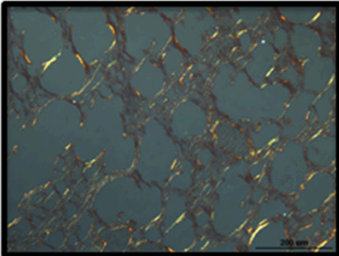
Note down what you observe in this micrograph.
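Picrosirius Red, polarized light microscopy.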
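This is lung parenchyma, seen as a delicate network of thin alveolar walls surrounding many rounded, empty airspaces. The walls appear dark gray-brown against the dark background. Fine, thin yellow to orange threads run along the walls, mostly as short, slender strands. The airspaces vary in size, and the tissue is open without dense areas.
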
